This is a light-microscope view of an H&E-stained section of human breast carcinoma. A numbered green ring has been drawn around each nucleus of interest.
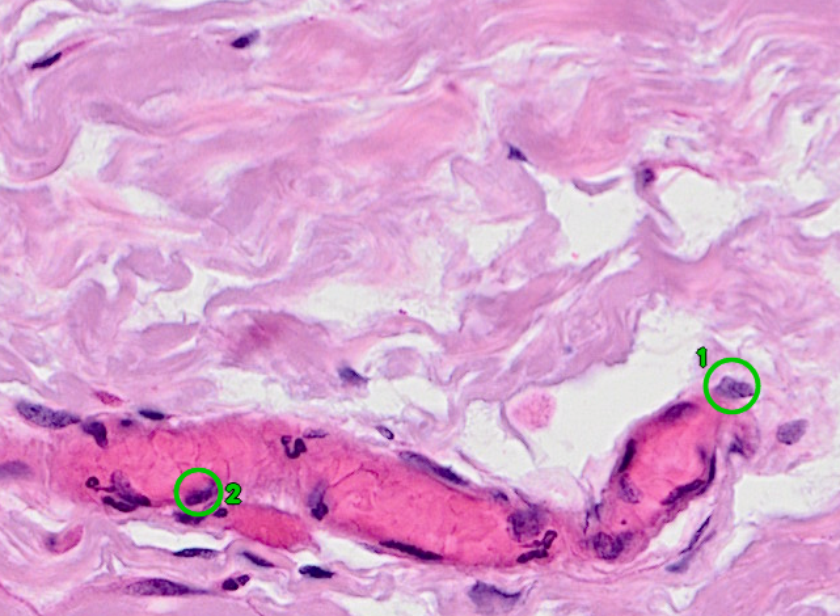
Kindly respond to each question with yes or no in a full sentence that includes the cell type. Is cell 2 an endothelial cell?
Yes, number 2 corresponds to an endothelial cell.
